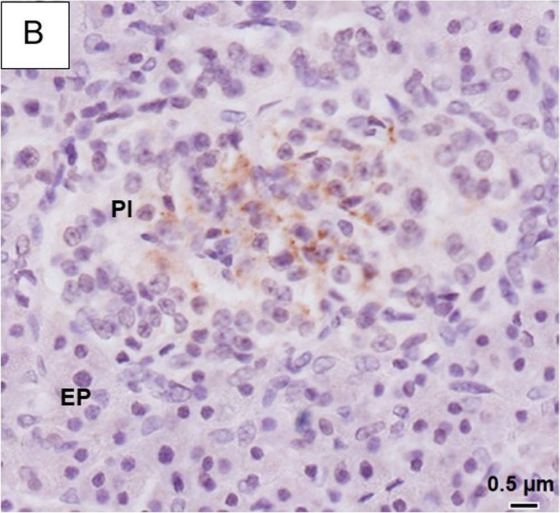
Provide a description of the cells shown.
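A pancreatic islet sits within exocrine pancreas, its smaller, paler cells with round to oval nuclei contrasting with the surrounding acinar tissue. Fine brown granules fill the cytoplasm of many cells towards the middle of the islet, while the cells at its rim and the acinar cells below remain unstained.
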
